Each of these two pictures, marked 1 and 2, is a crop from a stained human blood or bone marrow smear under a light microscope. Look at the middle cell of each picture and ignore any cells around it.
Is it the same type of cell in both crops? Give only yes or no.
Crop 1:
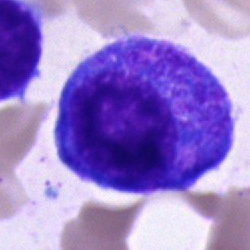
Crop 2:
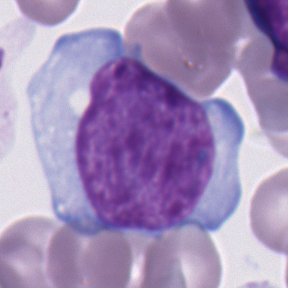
no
